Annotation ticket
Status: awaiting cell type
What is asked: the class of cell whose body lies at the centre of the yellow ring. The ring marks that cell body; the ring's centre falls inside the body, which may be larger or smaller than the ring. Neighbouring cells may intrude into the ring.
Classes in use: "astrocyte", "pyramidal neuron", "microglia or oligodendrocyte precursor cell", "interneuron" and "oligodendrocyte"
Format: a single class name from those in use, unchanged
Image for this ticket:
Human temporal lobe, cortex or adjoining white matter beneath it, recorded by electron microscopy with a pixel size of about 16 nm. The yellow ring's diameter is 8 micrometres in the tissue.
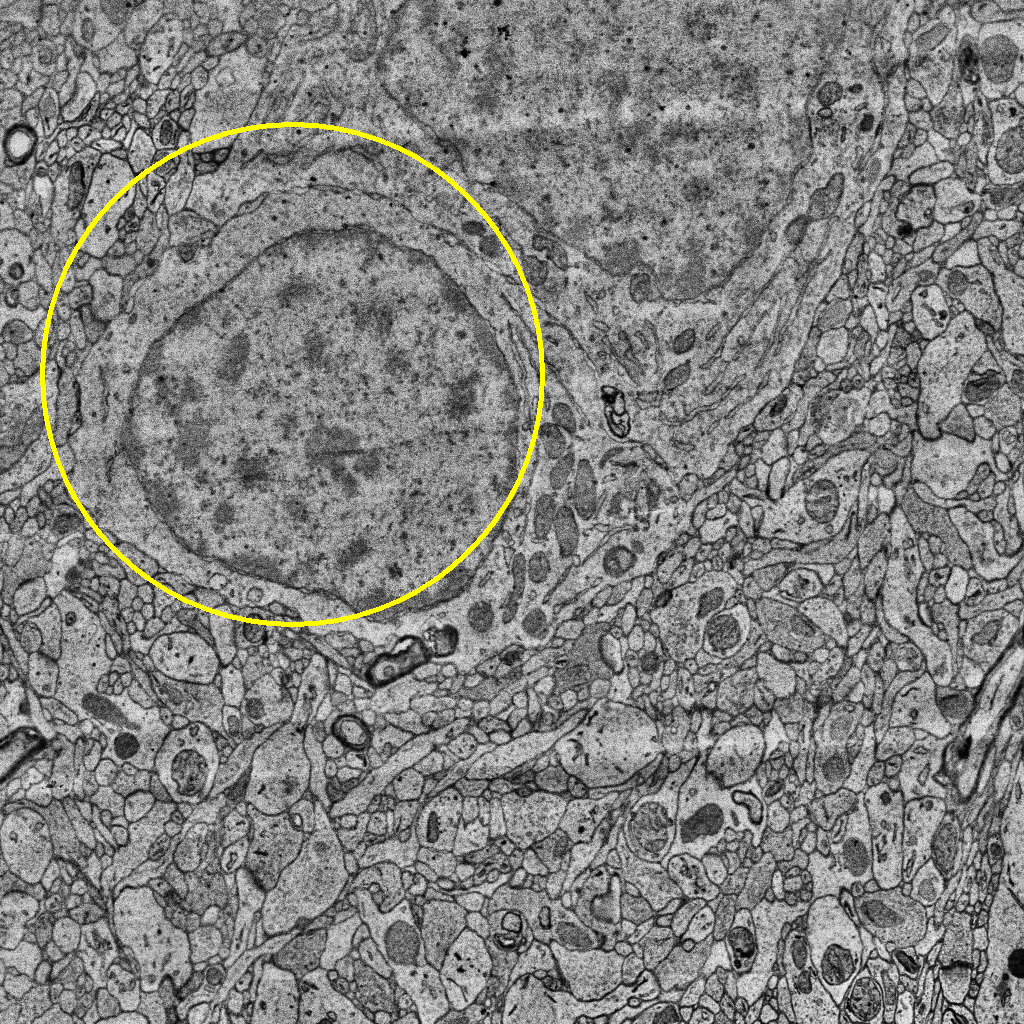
microglia or oligodendrocyte precursor cell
